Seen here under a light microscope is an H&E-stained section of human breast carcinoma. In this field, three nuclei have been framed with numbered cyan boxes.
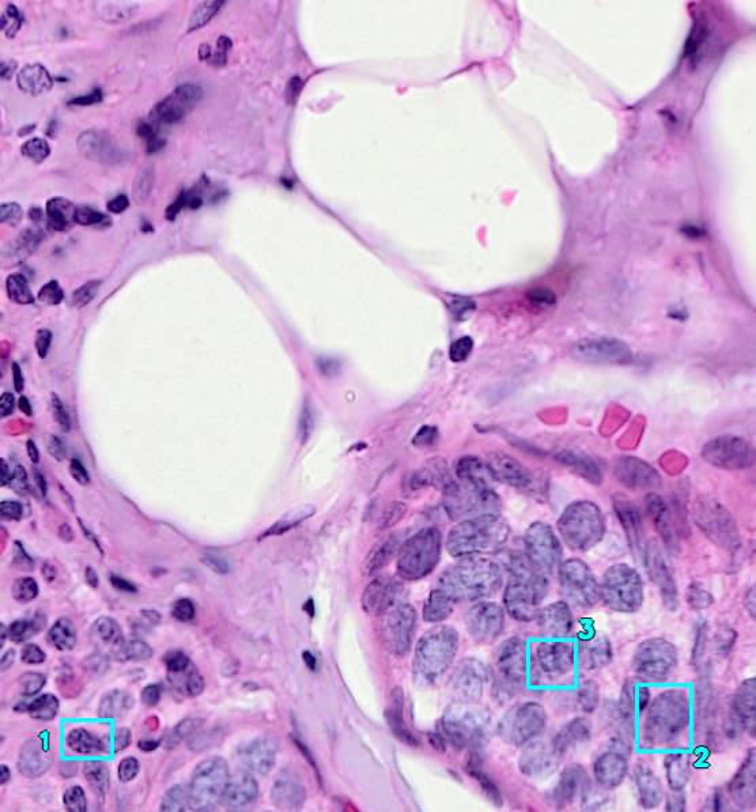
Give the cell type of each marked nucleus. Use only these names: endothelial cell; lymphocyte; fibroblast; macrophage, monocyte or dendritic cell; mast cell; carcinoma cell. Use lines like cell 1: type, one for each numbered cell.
cell 1: lymphocyte
cell 2: carcinoma cell
cell 3: carcinoma cell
